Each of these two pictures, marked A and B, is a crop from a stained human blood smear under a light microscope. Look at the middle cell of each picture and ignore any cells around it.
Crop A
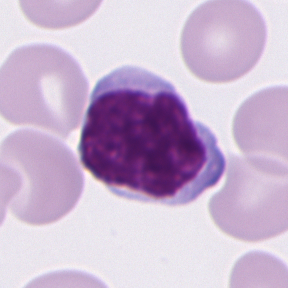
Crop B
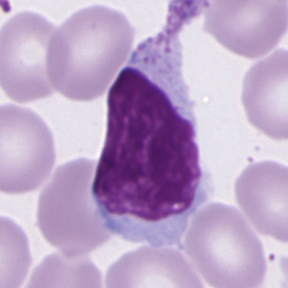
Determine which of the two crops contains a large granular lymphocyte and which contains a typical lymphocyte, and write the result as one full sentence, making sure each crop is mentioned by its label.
The cell centred in crop A is a typical lymphocyte, and the one centred in crop B is a large granular lymphocyte.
